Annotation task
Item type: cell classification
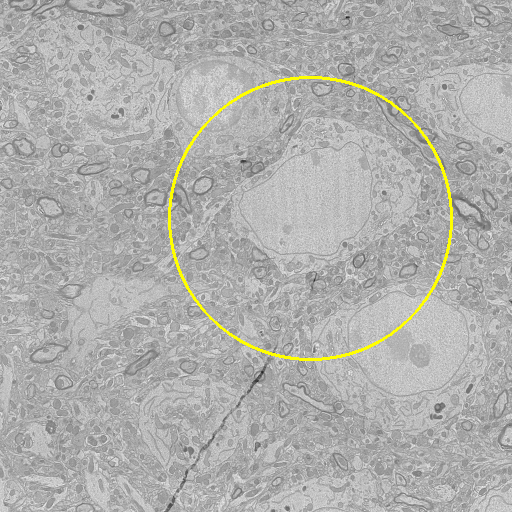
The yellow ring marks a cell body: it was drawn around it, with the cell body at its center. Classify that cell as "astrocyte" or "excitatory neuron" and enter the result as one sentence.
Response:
The ring's center falls on an excitatory neuron.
